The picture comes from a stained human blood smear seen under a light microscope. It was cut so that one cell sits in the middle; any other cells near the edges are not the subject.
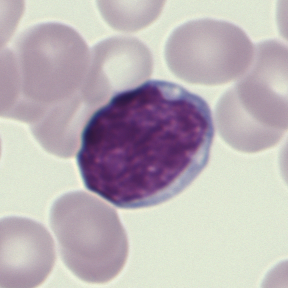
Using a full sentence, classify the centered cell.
By type, the central cell of the crop is a large granular lymphocyte.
